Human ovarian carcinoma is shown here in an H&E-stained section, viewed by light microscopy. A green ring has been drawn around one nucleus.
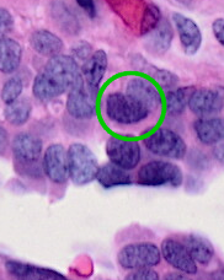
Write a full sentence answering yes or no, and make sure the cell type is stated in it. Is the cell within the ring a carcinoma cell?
Yes, no change needed: the cell within the ring is a carcinoma cell.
